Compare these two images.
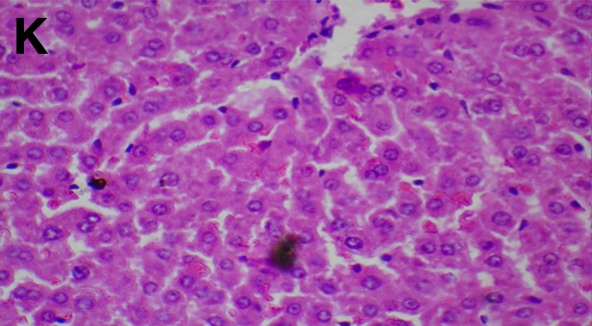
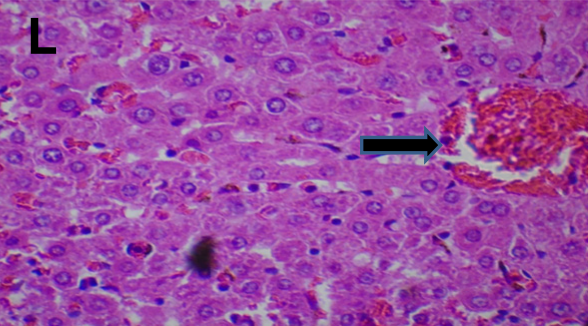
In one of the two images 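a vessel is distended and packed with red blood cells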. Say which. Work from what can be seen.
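The second image. Second image: a vessel at the right is filled with densely packed red-staining blood cells. First image: no vessel filled with blood is seen; the sinusoids are mostly empty spaces.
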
